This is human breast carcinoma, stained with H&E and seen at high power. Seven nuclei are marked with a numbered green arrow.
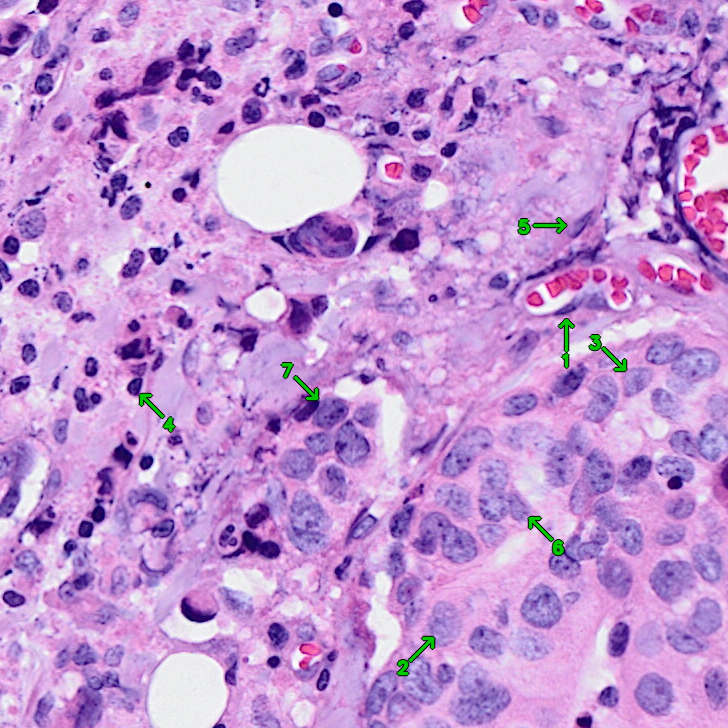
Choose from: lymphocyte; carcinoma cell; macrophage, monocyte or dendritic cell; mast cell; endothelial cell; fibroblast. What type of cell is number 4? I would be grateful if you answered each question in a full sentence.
The label 4 in this section denotes a lymphocyte.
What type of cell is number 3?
The cell referenced by the number 3 is a carcinoma cell in this field.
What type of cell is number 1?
The cell marked with the number 1 is an endothelial cell.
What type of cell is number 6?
Cell 6 is classified as a carcinoma cell.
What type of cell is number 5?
The cell assigned the number 5 is a fibroblast.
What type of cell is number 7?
Recognised here as a carcinoma cell is the cell numbered 7.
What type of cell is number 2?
The cell referenced by the number 2 is a carcinoma cell in this field.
